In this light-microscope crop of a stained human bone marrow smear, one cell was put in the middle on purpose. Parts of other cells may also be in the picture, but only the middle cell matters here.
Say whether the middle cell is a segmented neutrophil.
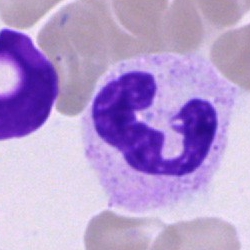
yes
